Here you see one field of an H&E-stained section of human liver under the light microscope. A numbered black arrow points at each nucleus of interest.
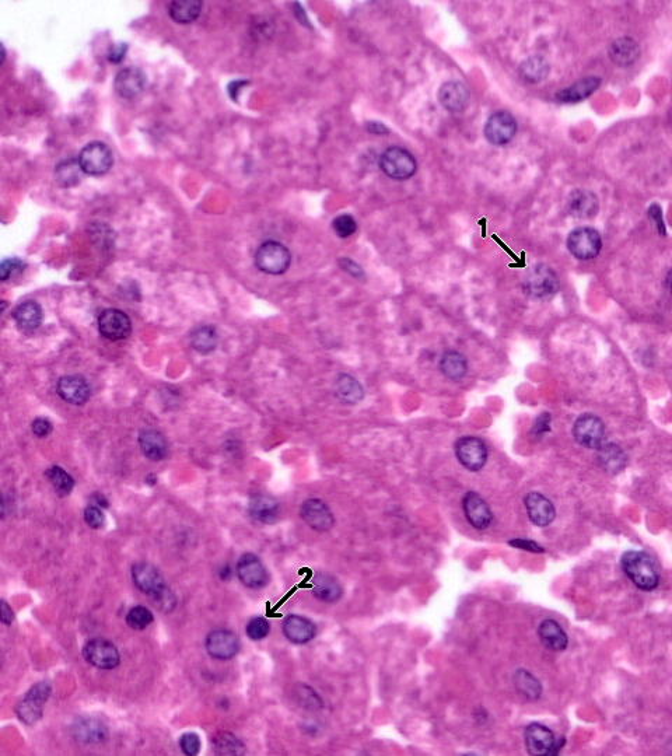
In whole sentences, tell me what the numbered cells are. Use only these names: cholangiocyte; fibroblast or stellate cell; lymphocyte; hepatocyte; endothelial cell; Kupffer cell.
Cell 1 is a hepatocyte and cell 2 is a lymphocyte.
